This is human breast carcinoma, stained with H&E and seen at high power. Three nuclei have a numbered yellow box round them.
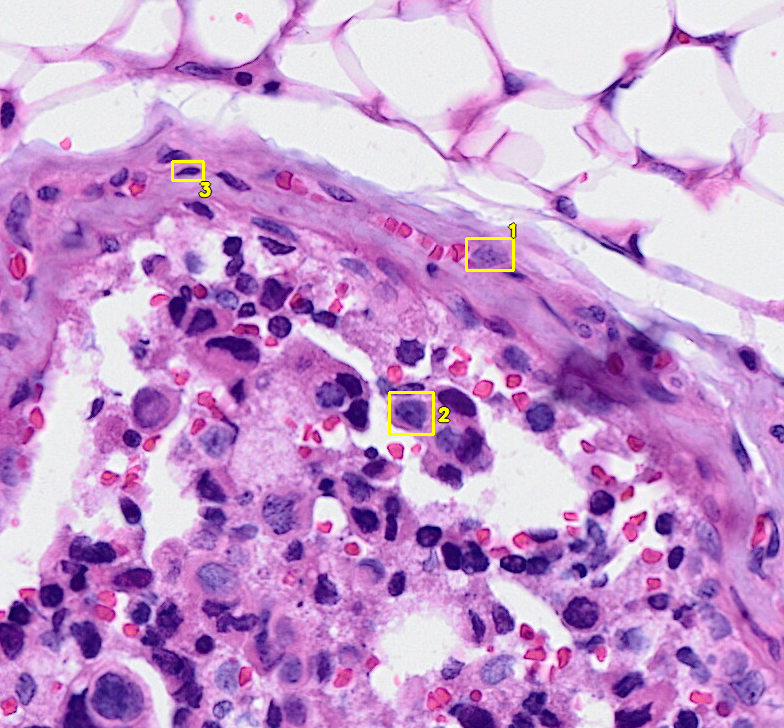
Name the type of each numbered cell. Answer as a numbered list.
1. endothelial cell
2. carcinoma cell
3. fibroblast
